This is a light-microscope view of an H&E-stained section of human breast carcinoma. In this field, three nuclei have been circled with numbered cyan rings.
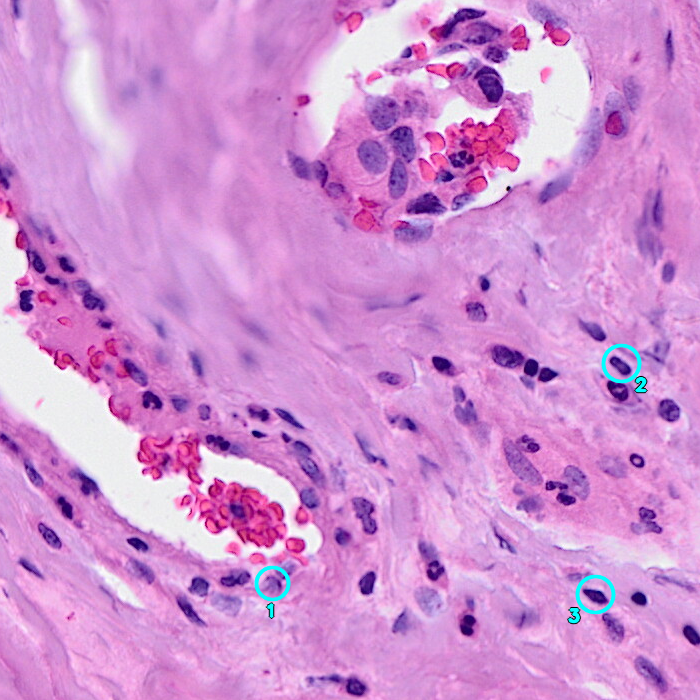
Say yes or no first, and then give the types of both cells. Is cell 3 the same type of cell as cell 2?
Yes, both are lymphocytes.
